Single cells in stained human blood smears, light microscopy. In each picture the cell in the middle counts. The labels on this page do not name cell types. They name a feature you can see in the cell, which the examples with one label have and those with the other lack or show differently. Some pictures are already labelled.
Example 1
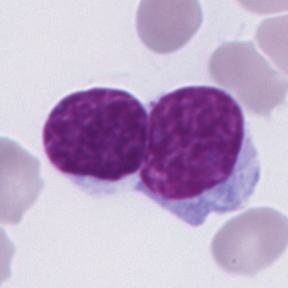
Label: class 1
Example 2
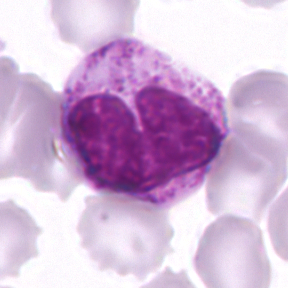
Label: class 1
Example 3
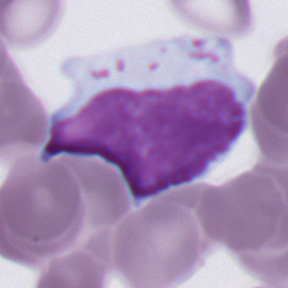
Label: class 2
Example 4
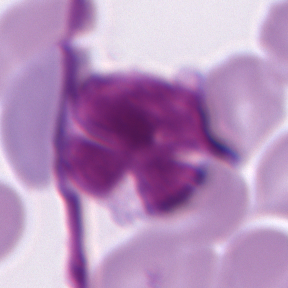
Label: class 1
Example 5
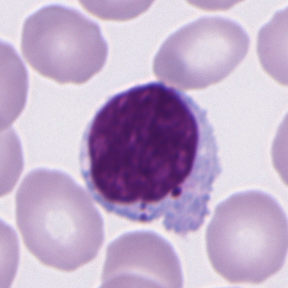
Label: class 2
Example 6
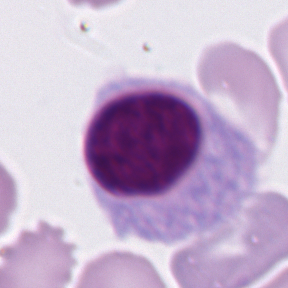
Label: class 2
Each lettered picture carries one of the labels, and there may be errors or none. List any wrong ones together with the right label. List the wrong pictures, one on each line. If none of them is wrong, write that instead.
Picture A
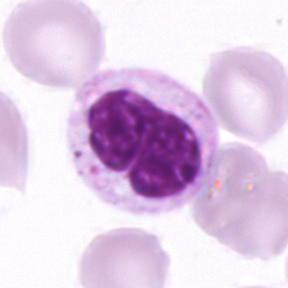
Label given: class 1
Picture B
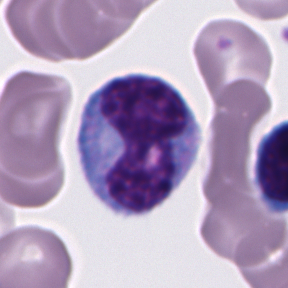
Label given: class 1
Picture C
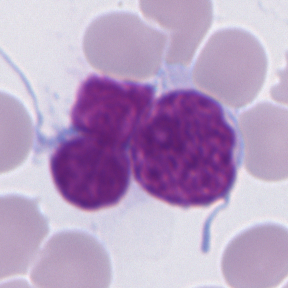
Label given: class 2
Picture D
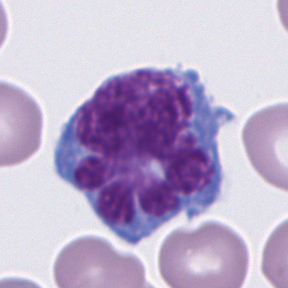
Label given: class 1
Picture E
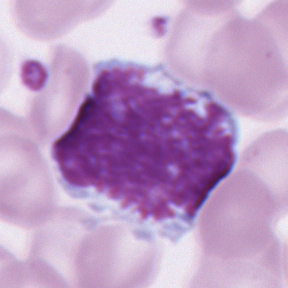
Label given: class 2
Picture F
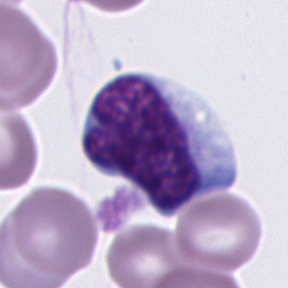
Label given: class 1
C should be class 1, not class 2
F should be class 2, not class 1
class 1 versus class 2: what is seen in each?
Seen in class 1: lobed nucleus; seen in class 2: single compact nucleus.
